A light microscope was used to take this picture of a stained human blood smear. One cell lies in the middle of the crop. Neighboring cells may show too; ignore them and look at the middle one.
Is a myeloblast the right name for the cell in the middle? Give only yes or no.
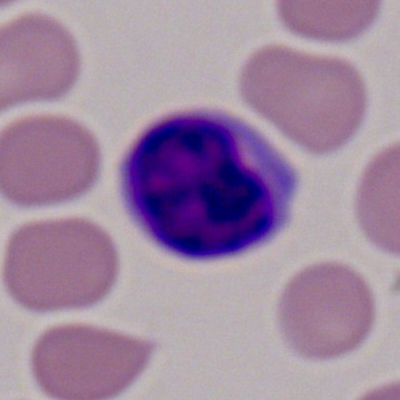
no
